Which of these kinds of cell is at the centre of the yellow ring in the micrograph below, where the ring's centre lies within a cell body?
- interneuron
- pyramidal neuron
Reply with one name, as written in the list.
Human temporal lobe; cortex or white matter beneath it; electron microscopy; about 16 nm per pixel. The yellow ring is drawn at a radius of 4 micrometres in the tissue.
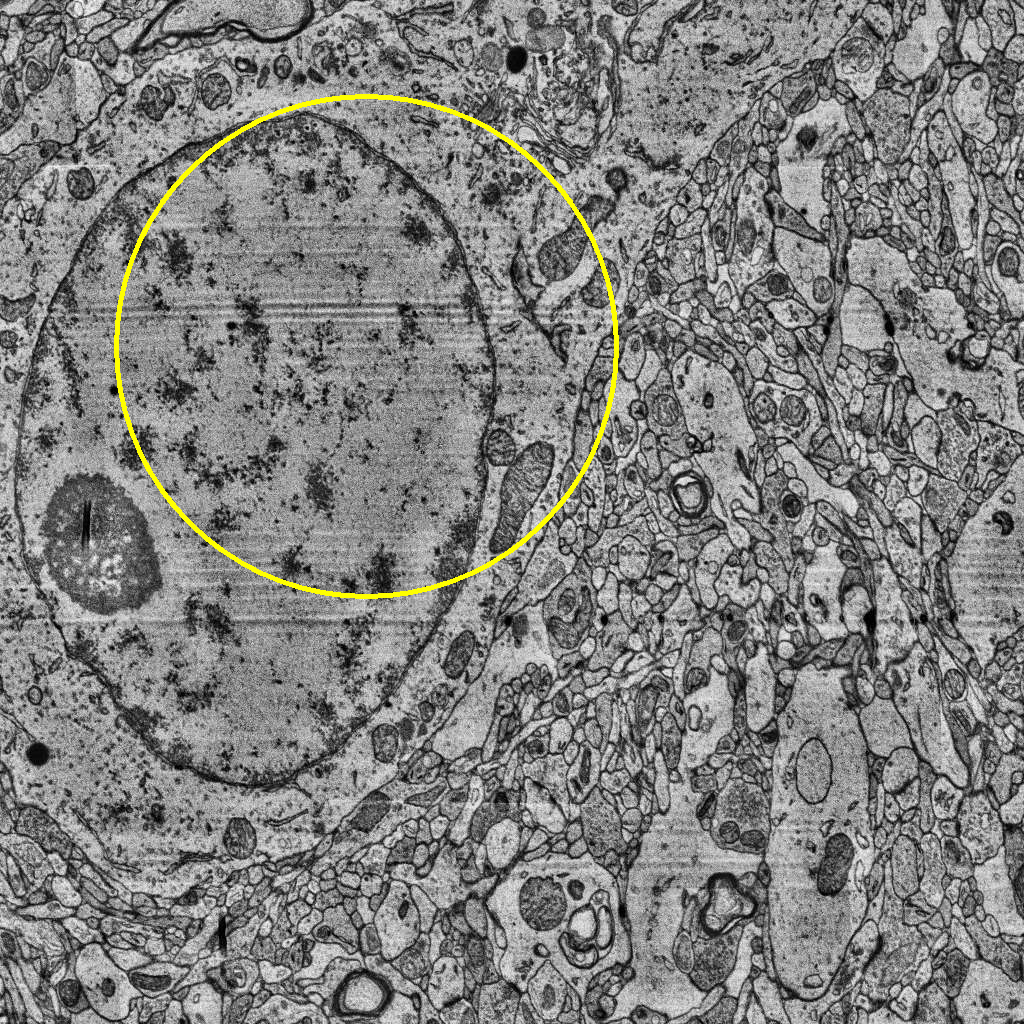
pyramidal neuron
